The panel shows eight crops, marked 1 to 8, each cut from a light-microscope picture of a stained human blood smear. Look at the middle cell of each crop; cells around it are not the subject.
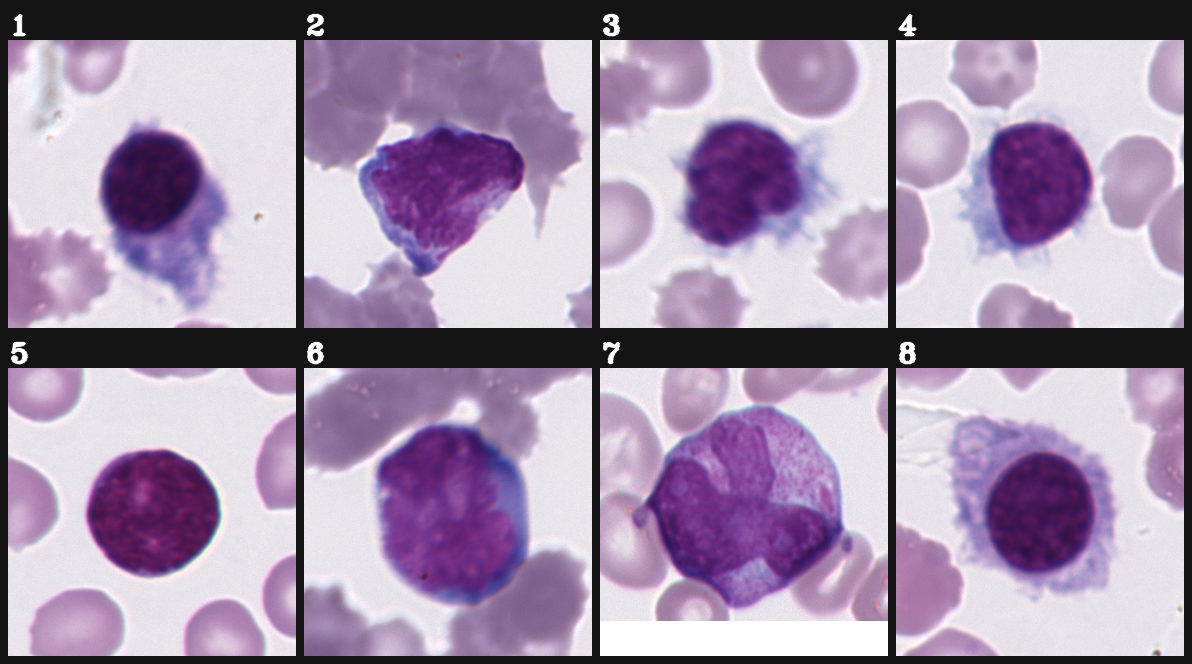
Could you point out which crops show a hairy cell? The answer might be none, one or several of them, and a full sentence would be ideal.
The crops marked 1, 3, 4 and 8 contain hairy cells at the centre.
